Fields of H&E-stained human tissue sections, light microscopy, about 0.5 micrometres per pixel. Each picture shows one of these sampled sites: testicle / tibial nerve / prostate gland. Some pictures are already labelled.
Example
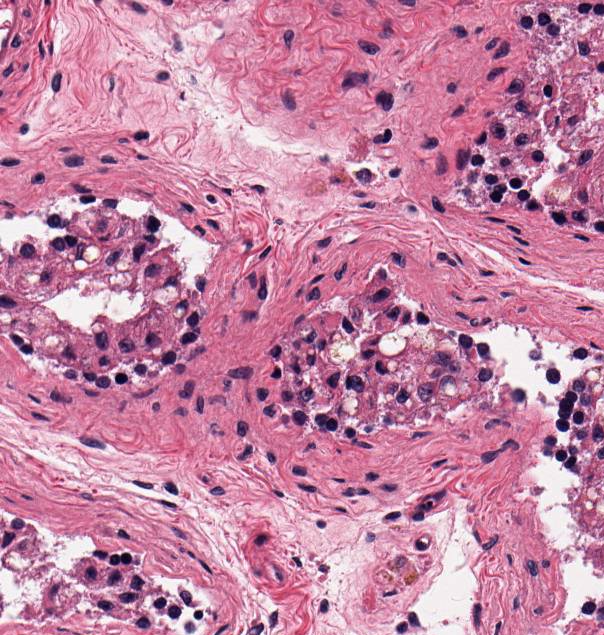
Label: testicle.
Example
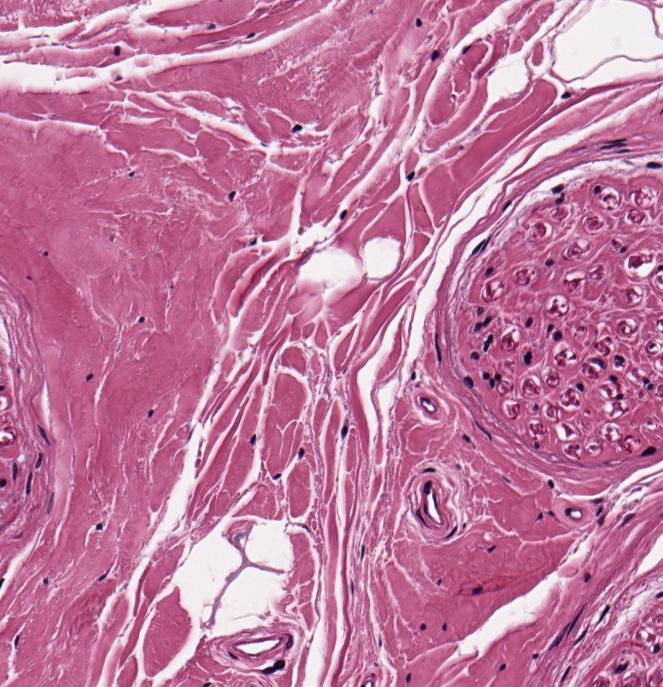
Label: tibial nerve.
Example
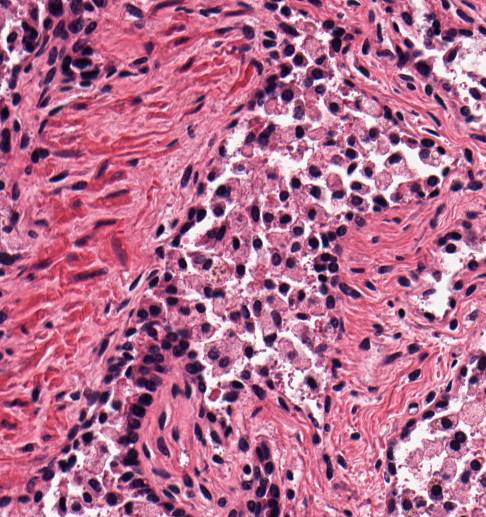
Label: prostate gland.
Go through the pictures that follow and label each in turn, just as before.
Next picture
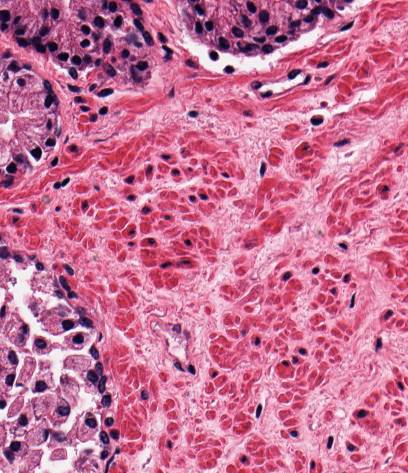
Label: prostate gland.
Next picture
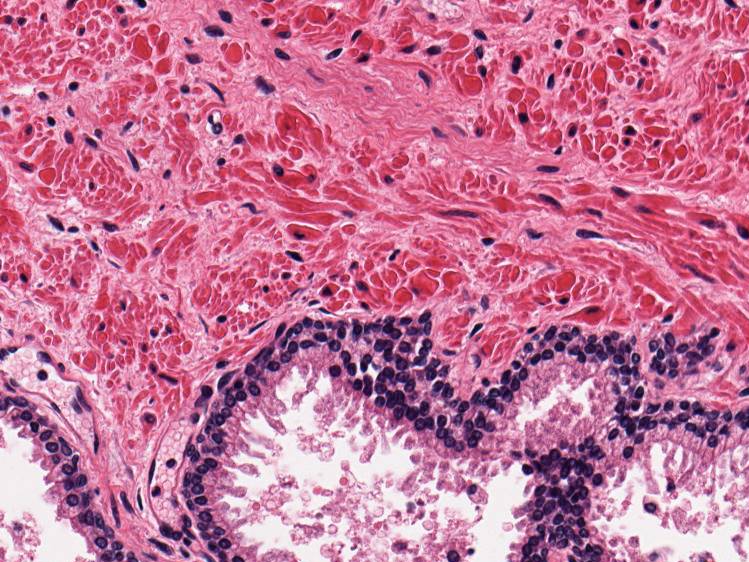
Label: prostate gland.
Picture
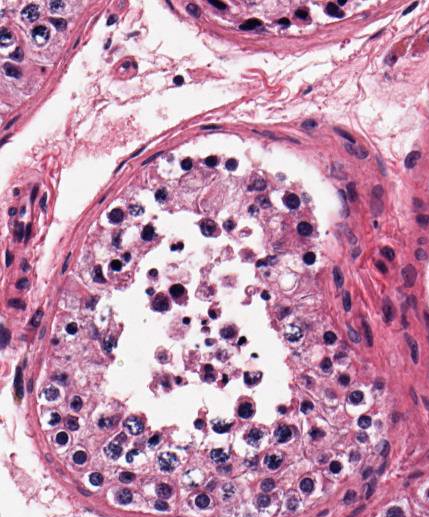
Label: testicle.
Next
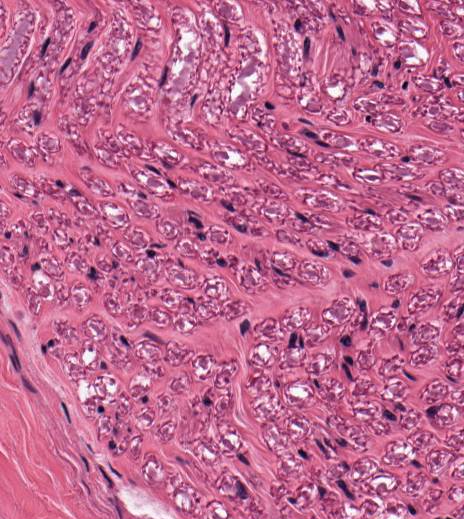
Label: tibial nerve.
